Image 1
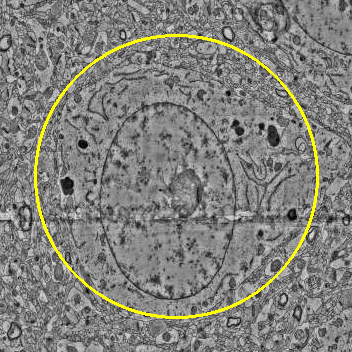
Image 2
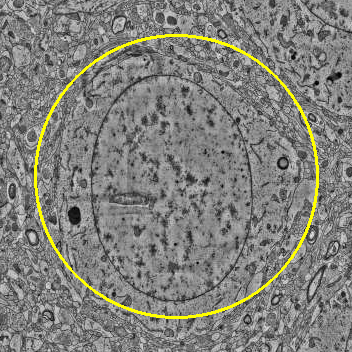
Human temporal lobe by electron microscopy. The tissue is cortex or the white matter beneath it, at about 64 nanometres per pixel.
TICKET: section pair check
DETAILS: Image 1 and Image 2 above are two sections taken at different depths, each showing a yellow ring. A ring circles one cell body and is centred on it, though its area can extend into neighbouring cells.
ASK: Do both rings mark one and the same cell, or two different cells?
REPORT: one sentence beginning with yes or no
Yes, a single cell lies behind both yellow marks.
